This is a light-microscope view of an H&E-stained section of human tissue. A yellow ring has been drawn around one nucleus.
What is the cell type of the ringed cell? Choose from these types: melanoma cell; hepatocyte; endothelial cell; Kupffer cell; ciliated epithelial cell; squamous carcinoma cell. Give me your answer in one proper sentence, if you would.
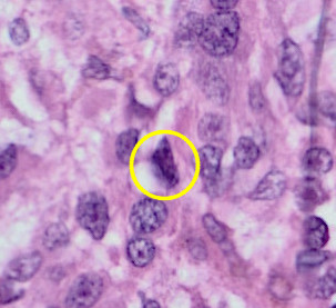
Histopathologically, the ringed cell is a melanoma cell.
